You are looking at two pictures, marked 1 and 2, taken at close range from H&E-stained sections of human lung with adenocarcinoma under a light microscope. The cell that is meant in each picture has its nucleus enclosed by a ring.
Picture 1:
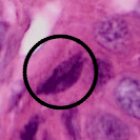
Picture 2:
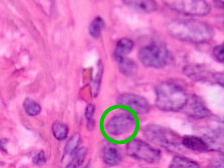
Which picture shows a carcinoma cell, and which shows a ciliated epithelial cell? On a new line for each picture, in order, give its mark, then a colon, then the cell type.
1: carcinoma cell
2: ciliated epithelial cell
